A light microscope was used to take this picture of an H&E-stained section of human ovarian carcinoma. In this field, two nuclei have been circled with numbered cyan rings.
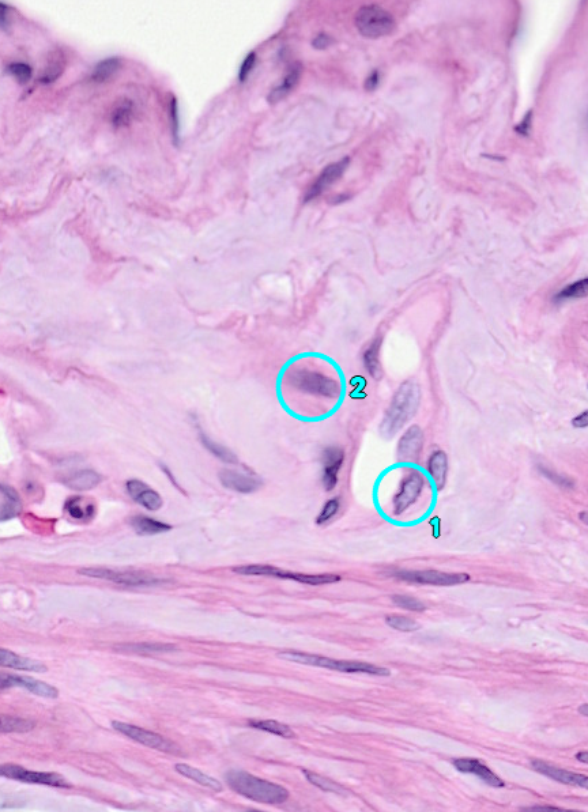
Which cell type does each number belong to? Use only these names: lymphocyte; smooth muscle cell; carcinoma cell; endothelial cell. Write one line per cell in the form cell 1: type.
cell 1: endothelial cell
cell 2: smooth muscle cell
